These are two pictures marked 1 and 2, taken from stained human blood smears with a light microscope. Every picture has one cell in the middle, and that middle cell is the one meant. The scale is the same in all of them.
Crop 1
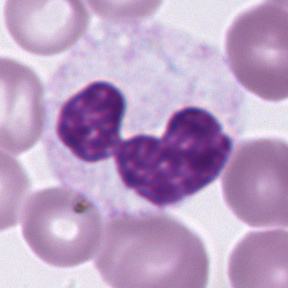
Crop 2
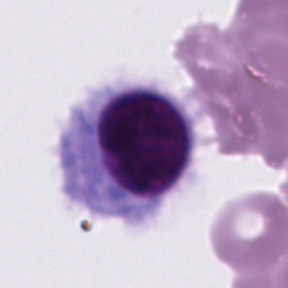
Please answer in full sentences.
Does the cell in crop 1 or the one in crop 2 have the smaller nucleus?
It is the nucleus in crop 2; the one in crop 1 has about 1.5 times its area.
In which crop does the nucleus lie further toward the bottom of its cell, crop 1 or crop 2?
The nucleus in crop 1 lies further toward the bottom of its cell.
